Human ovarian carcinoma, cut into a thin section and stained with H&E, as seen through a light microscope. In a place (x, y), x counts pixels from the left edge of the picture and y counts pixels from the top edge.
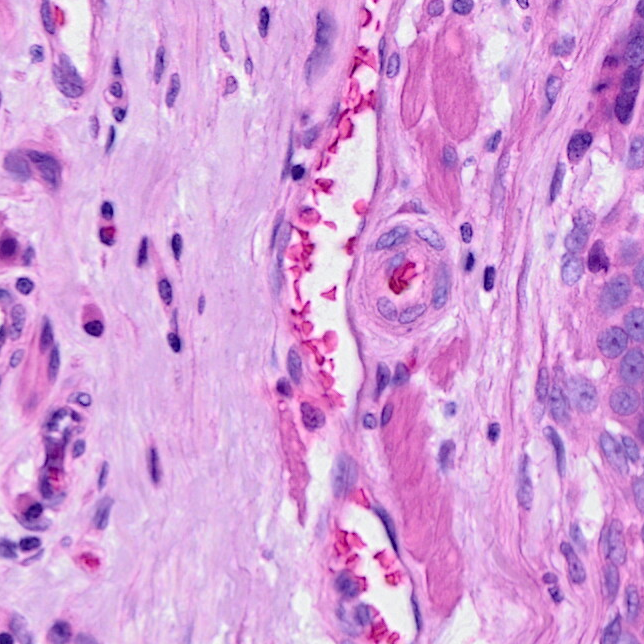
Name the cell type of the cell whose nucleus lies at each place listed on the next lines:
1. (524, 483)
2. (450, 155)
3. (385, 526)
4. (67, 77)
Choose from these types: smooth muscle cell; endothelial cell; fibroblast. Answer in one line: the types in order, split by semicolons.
fibroblast; smooth muscle cell; endothelial cell; endothelial cell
